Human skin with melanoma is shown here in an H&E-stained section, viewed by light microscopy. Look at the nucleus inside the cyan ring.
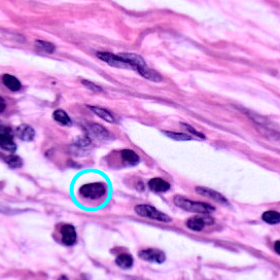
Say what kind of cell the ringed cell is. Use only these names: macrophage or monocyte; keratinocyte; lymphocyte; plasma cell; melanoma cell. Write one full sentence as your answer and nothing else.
Just put down that the ringed cell is a plasma cell.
